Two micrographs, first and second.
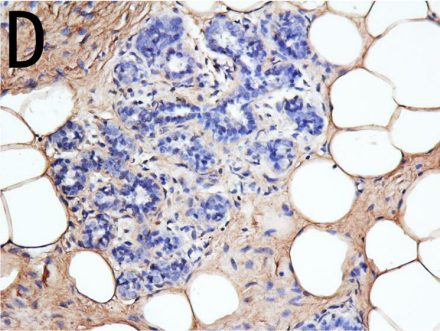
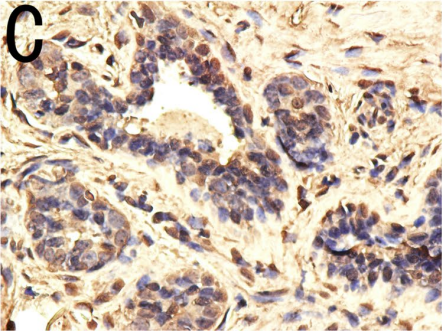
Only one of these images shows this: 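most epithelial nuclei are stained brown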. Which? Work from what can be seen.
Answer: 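First image: the nuclei of the glandular cells are blue, brown only in the stroma around fat cells.
Hence: the second image.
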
